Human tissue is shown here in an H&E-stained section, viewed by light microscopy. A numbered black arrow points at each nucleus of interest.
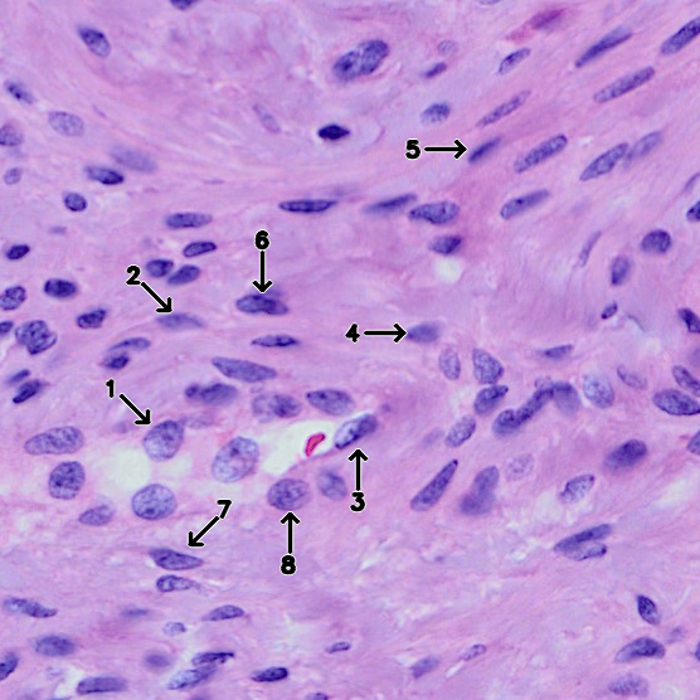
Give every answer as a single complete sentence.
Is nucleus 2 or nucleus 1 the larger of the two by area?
Number 1 is larger; its area is about 2 times that of number 2.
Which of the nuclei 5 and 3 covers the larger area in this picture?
At about 2 times the area of nucleus 5, nucleus 3 is the larger of the two.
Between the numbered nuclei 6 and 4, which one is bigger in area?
At about 1.5 times the area of nucleus 4, nucleus 6 is the larger of the two.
